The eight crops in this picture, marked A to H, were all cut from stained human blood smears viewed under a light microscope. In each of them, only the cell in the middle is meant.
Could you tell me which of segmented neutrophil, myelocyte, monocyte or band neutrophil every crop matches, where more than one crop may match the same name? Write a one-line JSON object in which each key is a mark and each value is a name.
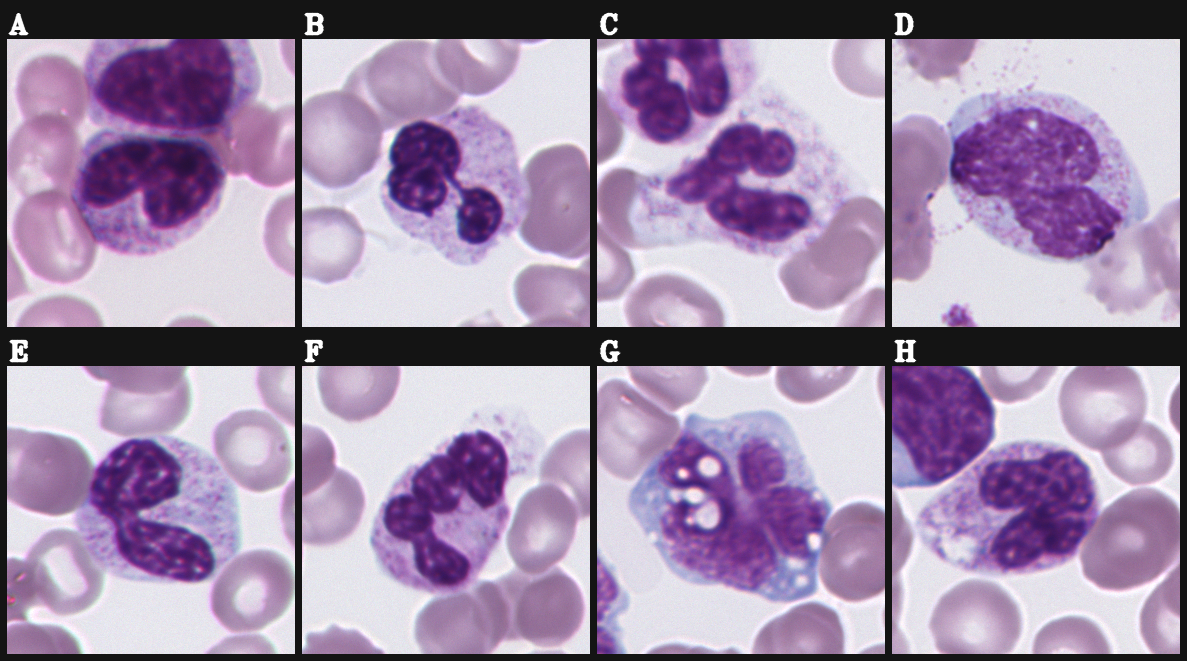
{"A": "band neutrophil", "B": "segmented neutrophil", "C": "segmented neutrophil", "D": "band neutrophil", "E": "segmented neutrophil", "F": "segmented neutrophil", "G": "monocyte", "H": "segmented neutrophil"}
